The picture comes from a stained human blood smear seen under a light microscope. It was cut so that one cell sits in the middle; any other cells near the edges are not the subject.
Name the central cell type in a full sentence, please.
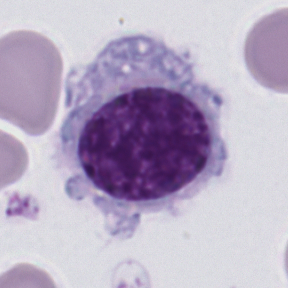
By type, the central cell of the crop is a plasma cell.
